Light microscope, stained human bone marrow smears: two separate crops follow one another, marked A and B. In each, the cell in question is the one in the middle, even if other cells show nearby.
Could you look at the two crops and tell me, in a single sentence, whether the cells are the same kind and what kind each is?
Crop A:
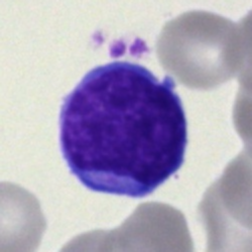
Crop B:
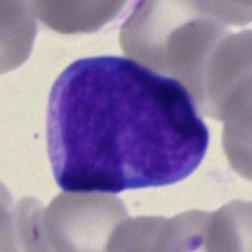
Yes, both crops in this set show blasts.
